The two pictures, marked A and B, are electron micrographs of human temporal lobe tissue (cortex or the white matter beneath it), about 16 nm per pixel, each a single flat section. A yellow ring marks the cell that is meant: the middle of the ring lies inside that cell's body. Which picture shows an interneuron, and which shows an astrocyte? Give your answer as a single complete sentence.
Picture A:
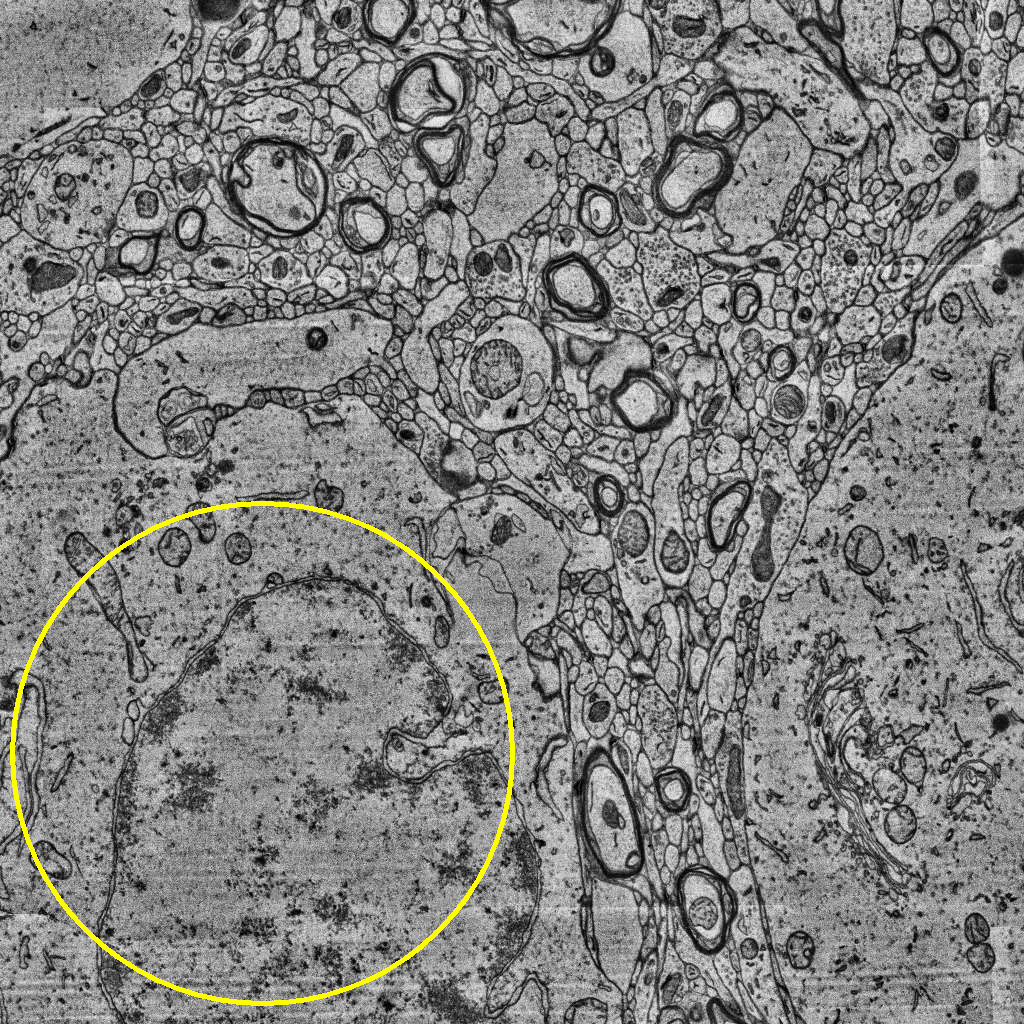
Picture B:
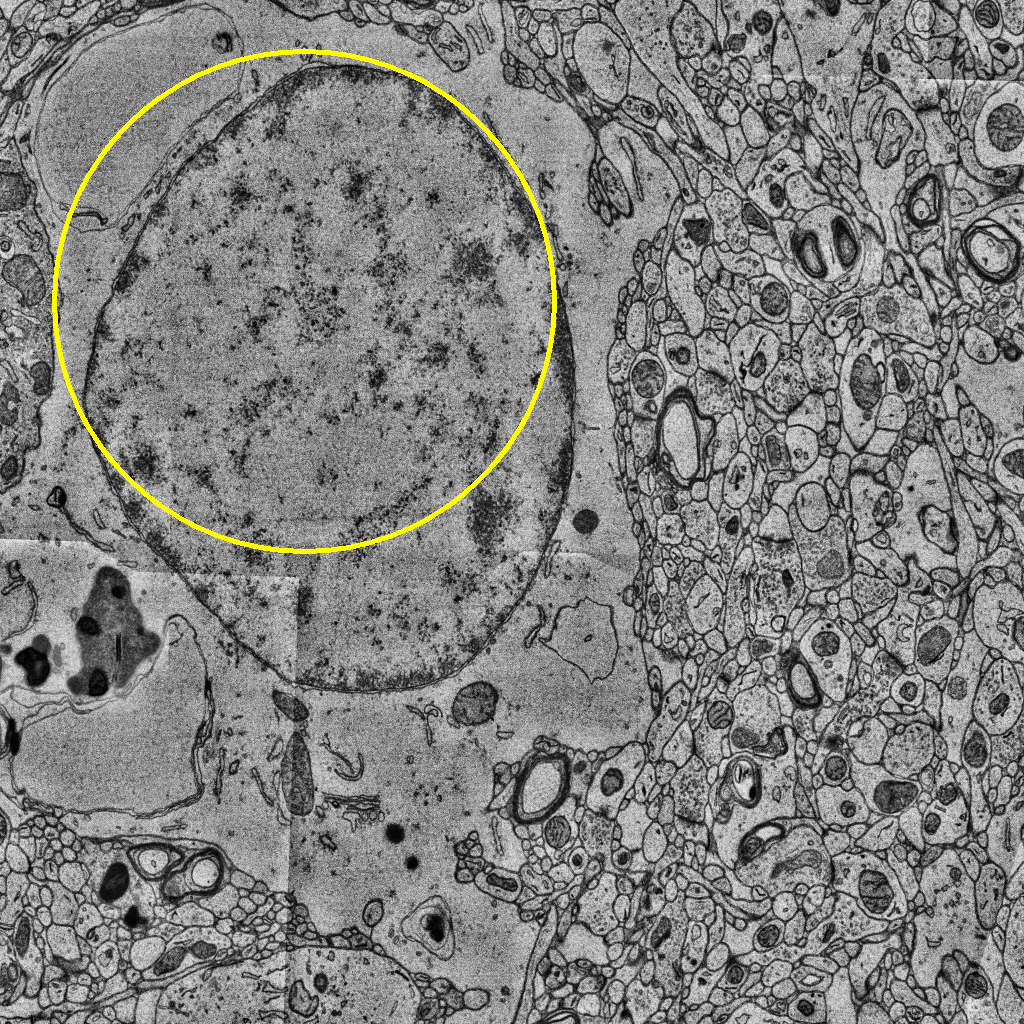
It is picture A that shows an interneuron, and picture B that shows an astrocyte.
